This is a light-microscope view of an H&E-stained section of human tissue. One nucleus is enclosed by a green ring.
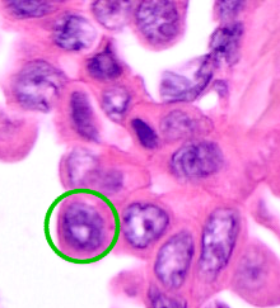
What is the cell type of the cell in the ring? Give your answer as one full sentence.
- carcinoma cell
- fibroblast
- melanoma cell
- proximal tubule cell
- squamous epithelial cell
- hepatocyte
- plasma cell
In cell-type terms, the cell in the ring is a carcinoma cell.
